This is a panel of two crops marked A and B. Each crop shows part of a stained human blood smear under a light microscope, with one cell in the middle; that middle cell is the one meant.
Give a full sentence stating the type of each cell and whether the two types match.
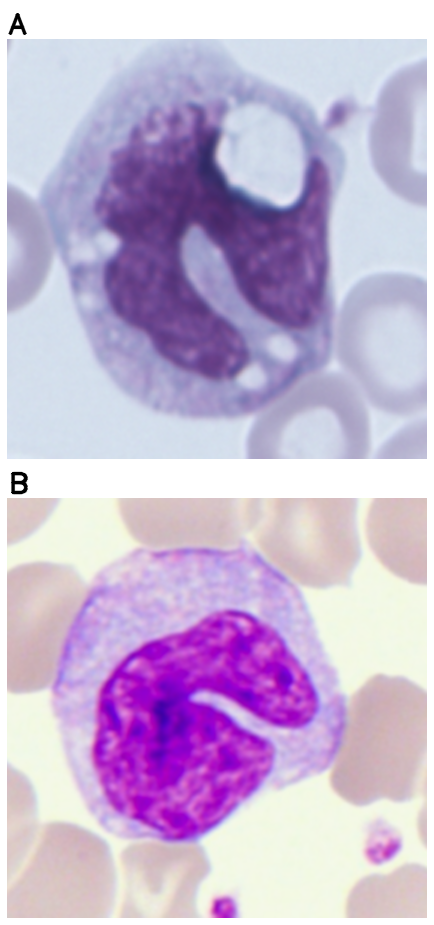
Yes, the cells in the centres of the two crops are monocytes.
